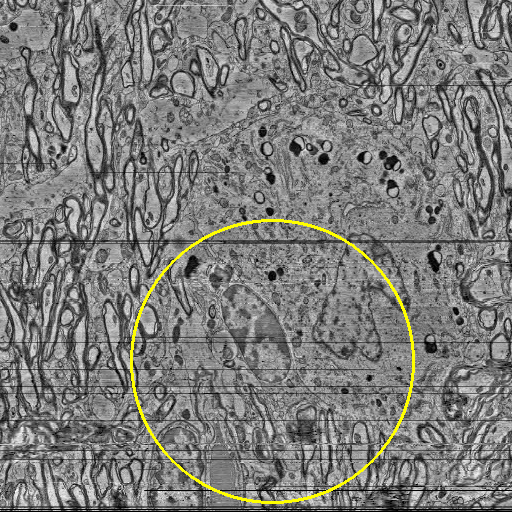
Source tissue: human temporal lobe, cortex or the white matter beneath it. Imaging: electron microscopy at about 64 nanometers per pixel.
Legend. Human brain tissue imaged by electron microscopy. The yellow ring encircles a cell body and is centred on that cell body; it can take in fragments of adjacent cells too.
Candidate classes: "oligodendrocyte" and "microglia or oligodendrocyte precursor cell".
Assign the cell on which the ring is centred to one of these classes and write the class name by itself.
microglia or oligodendrocyte precursor cell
